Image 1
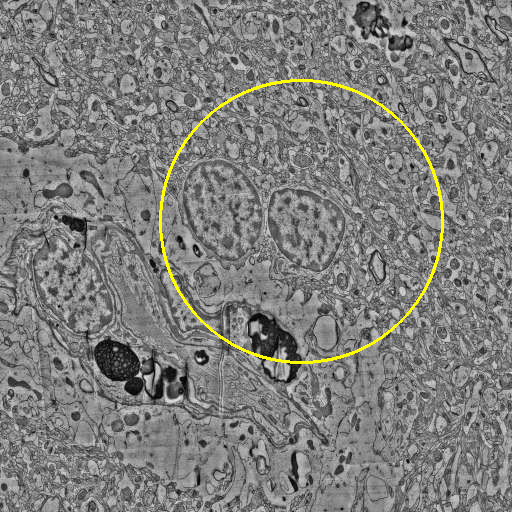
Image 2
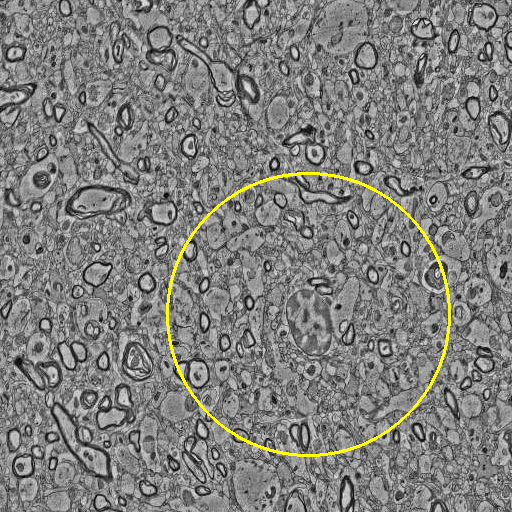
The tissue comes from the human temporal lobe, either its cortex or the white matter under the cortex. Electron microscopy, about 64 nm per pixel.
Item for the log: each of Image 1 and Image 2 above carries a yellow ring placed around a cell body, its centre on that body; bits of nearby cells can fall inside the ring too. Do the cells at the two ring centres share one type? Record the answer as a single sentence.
Yes, the two cells at the ring centres in Image 1 and Image 2 share one type.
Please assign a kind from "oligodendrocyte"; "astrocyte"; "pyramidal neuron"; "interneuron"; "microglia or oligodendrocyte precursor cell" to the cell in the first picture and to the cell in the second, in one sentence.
Each of the two pictures has a microglial cell or oligodendrocyte precursor cell at the ring centre.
